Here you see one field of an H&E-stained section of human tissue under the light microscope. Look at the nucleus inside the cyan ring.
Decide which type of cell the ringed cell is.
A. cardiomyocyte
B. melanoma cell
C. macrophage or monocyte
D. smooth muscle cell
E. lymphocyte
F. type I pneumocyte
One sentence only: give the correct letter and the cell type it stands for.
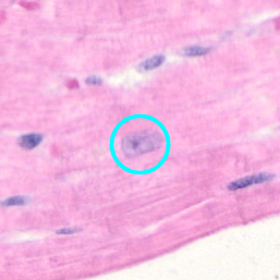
The correct response is option A: the ringed cell is a cardiomyocyte.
